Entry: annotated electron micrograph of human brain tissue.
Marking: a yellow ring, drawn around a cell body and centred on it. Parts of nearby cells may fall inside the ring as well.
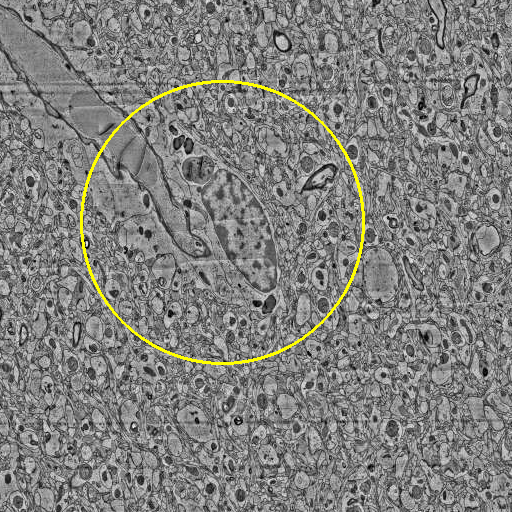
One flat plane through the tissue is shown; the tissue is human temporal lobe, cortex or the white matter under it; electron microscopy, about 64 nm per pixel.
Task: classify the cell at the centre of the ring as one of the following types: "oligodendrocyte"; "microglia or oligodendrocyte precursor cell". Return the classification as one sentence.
The marked cell is classified as a microglial cell or oligodendrocyte precursor cell.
